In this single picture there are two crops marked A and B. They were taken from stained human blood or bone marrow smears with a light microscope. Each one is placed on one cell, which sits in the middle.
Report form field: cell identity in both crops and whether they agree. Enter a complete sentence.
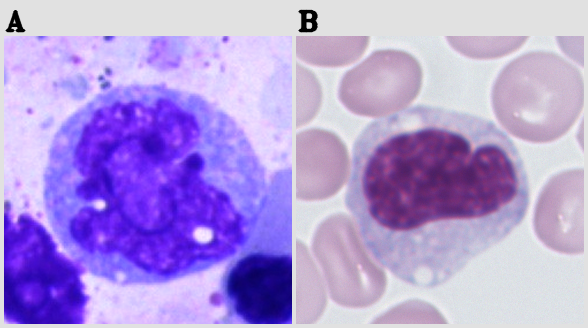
Yes, the reply for both crops is monocytes.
